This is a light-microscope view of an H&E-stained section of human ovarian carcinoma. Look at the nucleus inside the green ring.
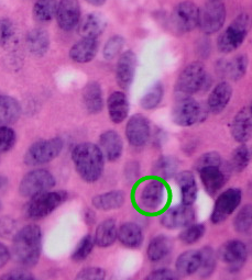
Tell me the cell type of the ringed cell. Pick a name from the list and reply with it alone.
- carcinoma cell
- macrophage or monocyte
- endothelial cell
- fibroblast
carcinoma cell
